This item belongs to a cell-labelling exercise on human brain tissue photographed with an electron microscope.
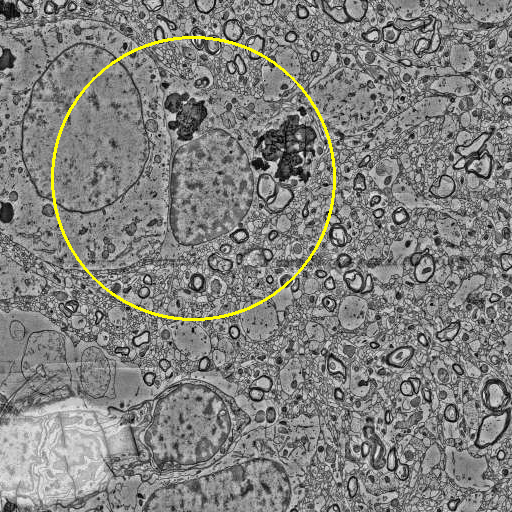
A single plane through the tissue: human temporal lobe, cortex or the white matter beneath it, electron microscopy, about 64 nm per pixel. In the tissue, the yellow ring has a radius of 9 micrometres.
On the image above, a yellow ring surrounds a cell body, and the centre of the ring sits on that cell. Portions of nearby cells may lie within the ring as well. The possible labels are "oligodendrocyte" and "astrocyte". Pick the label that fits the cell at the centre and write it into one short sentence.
This cell should be labelled as an oligodendrocyte.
